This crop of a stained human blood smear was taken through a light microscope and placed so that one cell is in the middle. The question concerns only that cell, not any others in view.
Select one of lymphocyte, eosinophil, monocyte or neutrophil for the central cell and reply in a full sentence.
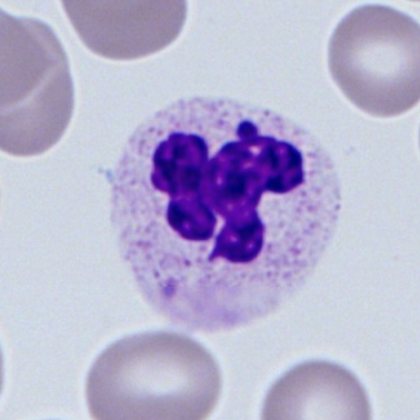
Occupying the centre of the crop is a neutrophil.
